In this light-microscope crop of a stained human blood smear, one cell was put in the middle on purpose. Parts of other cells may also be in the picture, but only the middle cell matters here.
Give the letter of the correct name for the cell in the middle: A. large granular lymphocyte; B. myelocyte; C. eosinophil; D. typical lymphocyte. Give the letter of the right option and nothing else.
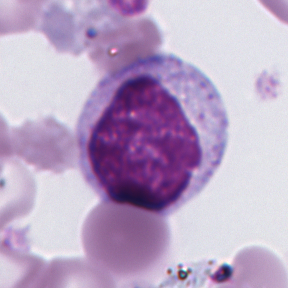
B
